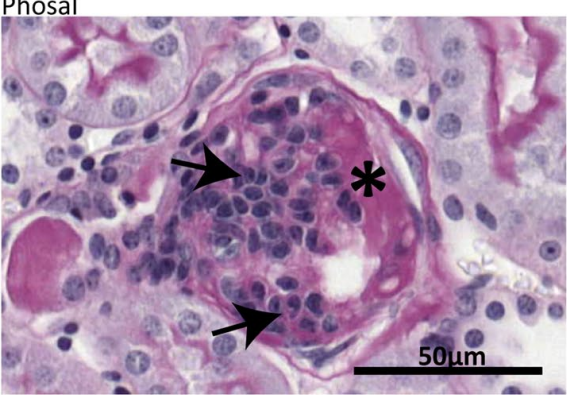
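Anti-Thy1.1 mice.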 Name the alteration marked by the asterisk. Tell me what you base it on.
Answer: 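The asterisk lies on a homogeneous, glassy magenta area within the glomerular tuft. The area has few nuclei compared with the rest of the tuft. The answer: hyalinosis.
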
